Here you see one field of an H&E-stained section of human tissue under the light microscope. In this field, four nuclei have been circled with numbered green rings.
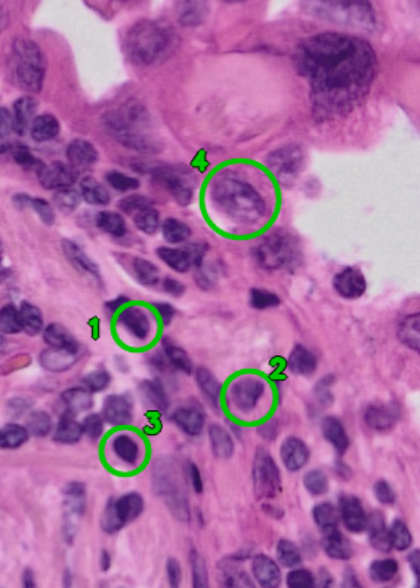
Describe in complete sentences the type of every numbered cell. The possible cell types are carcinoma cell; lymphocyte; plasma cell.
Cell 1 is a lymphocyte, cell 2 is a lymphocyte, cell 3 is a lymphocyte and cell 4 is a carcinoma cell.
